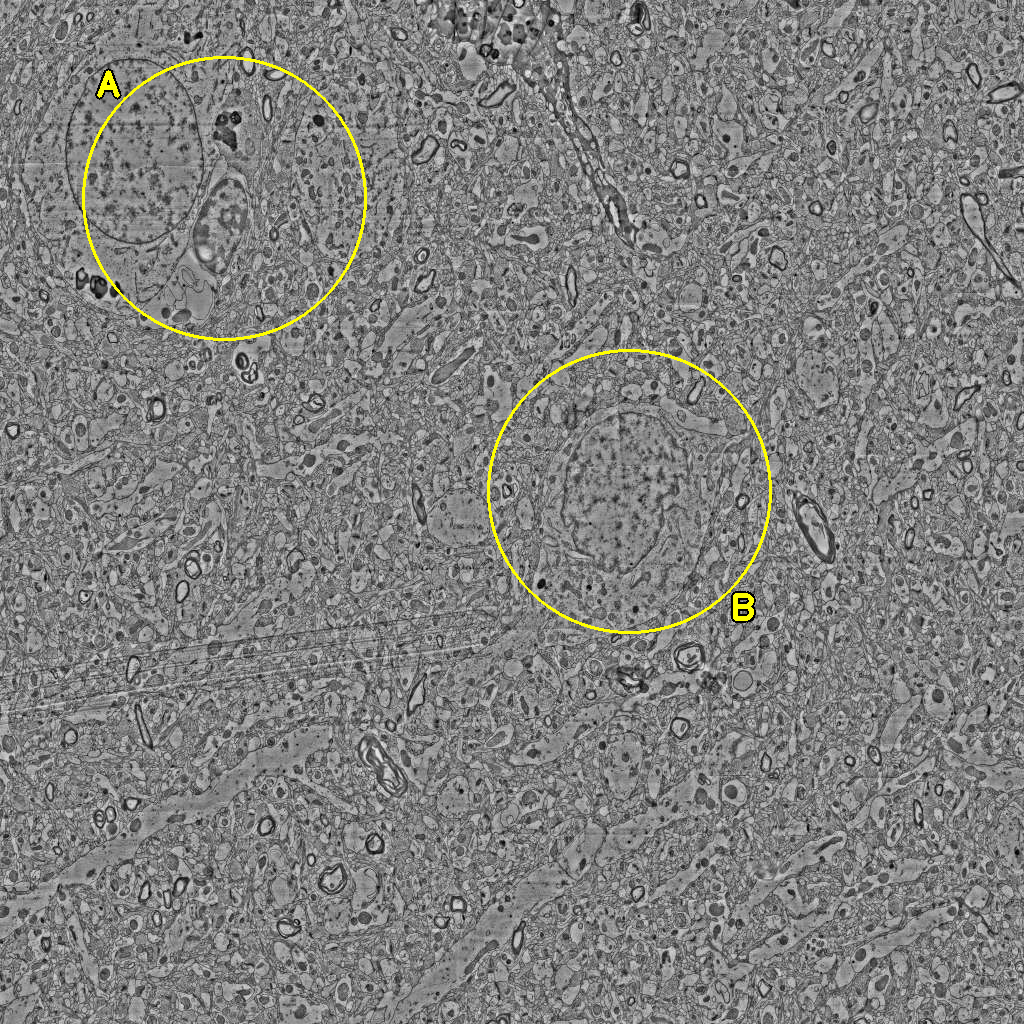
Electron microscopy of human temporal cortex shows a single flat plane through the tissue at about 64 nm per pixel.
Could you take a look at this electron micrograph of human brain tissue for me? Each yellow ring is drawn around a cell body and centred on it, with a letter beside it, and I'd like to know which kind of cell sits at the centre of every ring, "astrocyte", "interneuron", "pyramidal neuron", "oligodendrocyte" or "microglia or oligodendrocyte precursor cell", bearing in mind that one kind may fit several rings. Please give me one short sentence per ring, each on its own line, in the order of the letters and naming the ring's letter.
Ring A is centred on a microglial cell or oligodendrocyte precursor cell.
Ring B is centred on an interneuron.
